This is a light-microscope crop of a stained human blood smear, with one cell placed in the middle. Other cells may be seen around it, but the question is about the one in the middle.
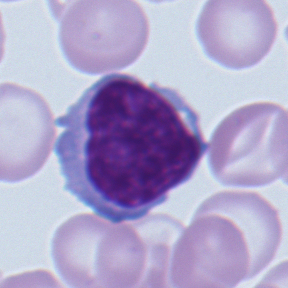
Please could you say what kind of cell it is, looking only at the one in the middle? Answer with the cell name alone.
typical lymphocyte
